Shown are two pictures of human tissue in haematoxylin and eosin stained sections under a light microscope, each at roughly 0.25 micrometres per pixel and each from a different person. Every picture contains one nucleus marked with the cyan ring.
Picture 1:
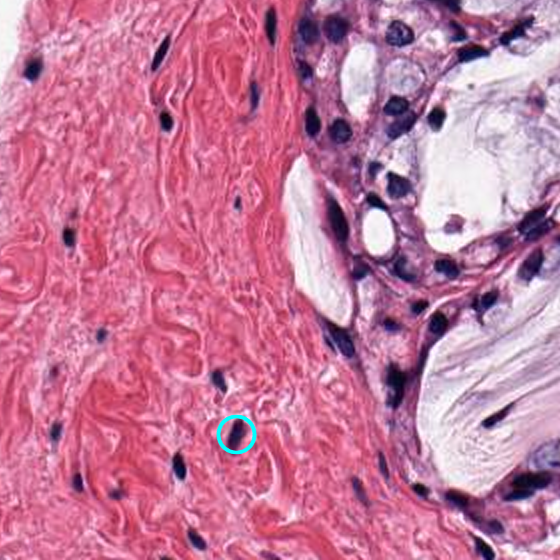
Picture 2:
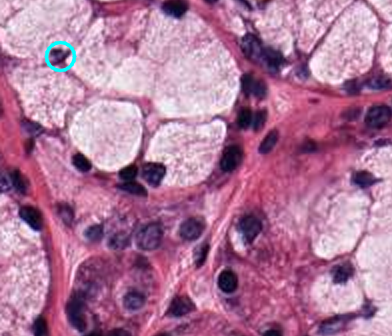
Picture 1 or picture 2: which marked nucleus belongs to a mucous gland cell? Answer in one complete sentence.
The marked nucleus, in picture 2, belongs to a mucous gland cell.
